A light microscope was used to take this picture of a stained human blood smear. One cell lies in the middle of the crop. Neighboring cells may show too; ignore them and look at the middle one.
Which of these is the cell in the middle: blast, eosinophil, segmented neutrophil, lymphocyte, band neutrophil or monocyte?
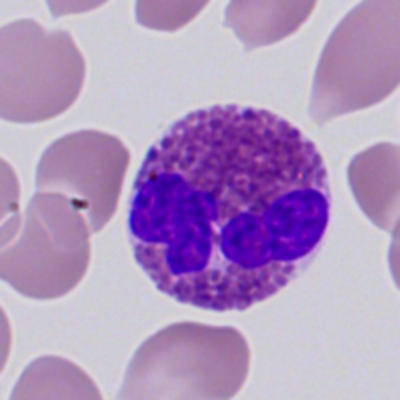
eosinophil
